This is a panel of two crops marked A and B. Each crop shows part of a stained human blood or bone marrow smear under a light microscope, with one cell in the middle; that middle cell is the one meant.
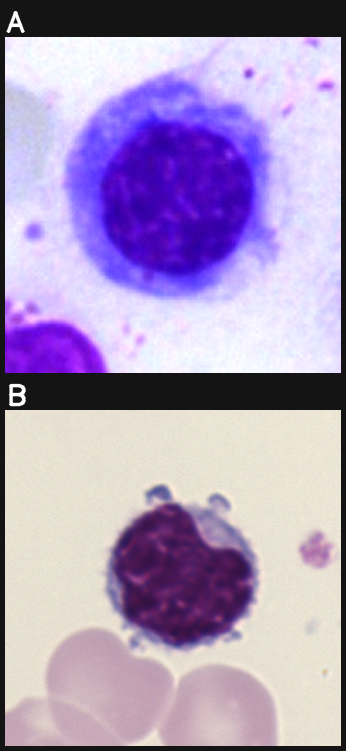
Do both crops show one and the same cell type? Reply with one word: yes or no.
no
